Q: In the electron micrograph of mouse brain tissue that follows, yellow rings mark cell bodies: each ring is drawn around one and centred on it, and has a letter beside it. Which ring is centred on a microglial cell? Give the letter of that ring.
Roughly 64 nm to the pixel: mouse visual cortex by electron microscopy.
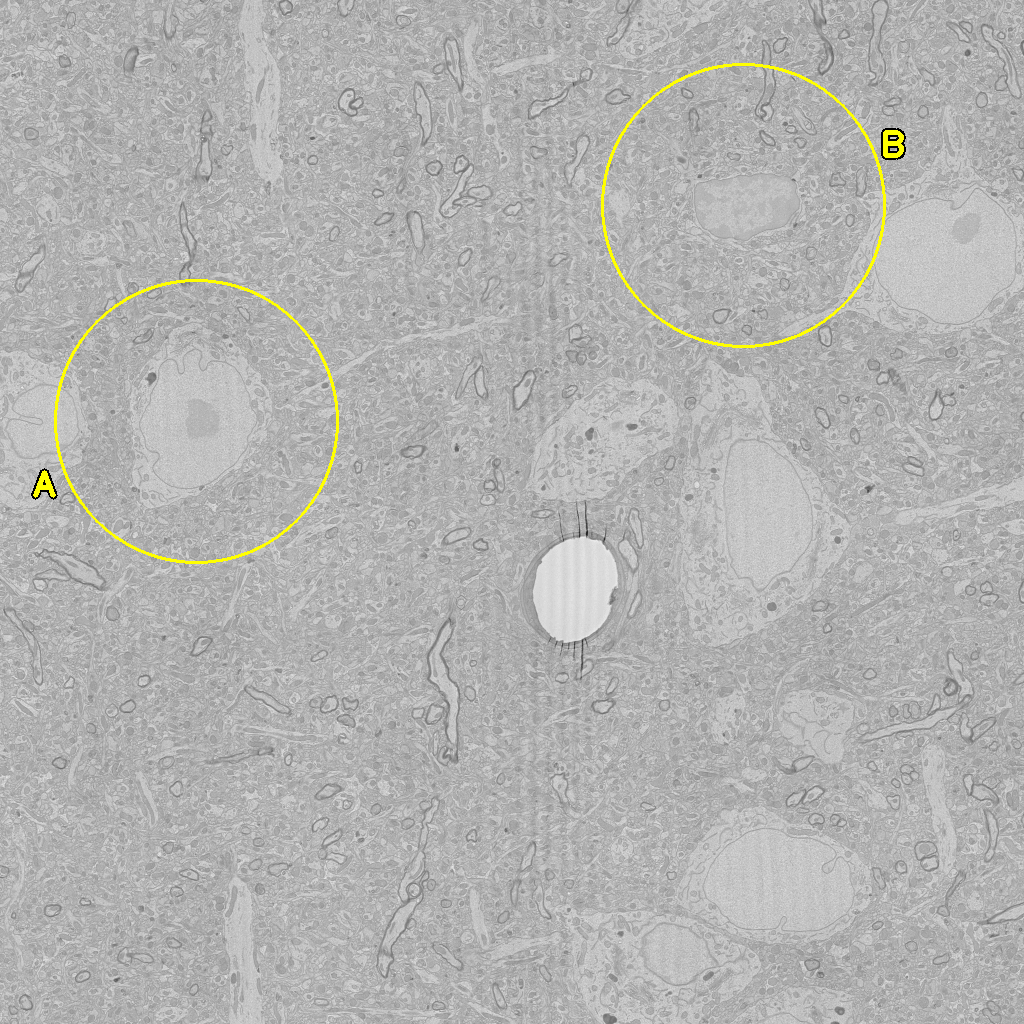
B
